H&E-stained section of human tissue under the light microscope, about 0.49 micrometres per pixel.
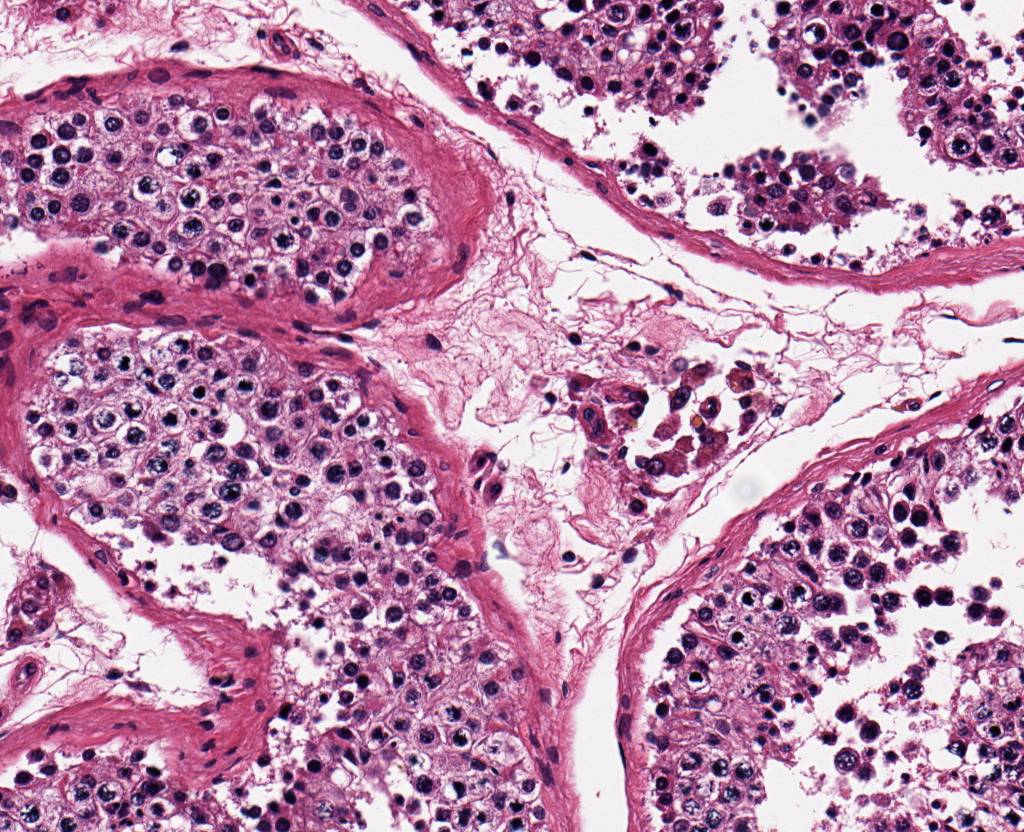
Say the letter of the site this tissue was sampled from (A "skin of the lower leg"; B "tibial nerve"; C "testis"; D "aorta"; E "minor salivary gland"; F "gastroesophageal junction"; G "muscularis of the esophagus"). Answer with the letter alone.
C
